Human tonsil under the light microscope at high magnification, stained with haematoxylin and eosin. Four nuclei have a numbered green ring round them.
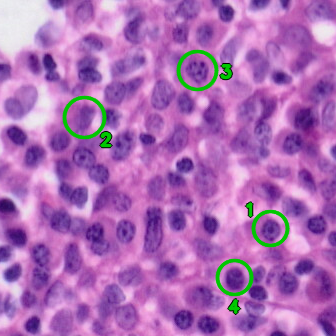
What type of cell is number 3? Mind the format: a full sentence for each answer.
Number 3 among the marked cells is a plasma cell.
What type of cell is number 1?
The one numbered 1 among the marked cells is a plasma cell.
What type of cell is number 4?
Belonging to a plasma cell is the nucleus that carries the number 4.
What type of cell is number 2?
Corresponding to a squamous epithelial cell is the cell labelled 2.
